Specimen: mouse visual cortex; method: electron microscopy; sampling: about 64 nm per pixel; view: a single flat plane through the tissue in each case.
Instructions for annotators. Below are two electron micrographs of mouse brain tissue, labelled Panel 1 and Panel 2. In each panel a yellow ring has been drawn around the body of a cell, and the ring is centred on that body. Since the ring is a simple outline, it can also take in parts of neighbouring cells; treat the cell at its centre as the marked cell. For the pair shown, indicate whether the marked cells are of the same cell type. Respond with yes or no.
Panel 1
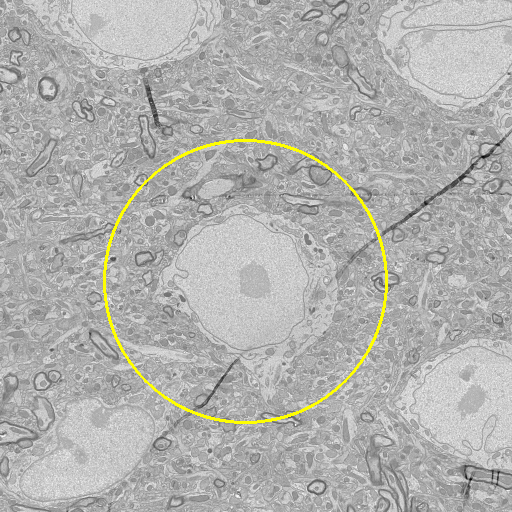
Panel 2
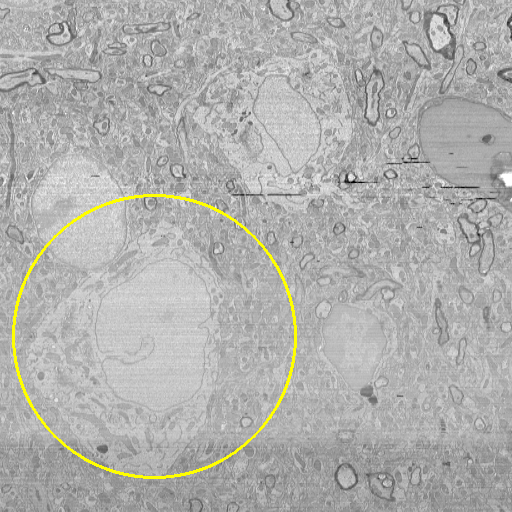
yes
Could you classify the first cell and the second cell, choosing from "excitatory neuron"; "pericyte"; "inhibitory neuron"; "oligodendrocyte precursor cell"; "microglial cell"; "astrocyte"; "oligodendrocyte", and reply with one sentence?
Each of the two rings surrounds an excitatory neuron.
